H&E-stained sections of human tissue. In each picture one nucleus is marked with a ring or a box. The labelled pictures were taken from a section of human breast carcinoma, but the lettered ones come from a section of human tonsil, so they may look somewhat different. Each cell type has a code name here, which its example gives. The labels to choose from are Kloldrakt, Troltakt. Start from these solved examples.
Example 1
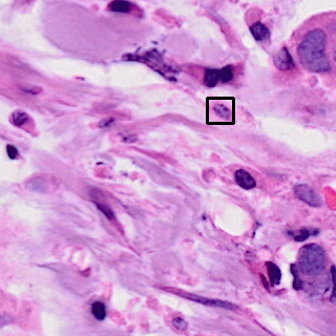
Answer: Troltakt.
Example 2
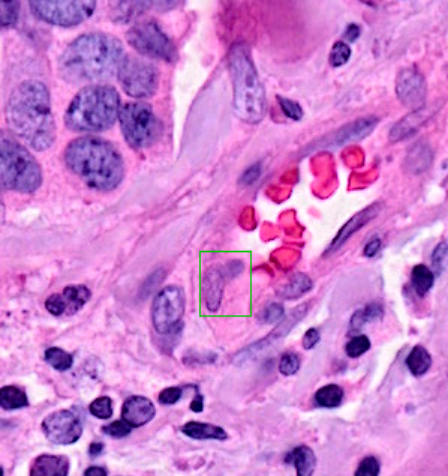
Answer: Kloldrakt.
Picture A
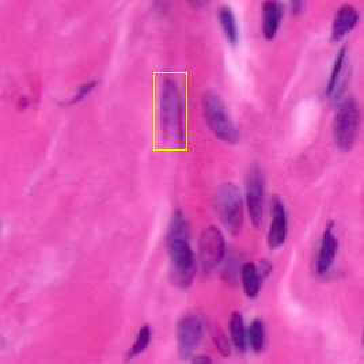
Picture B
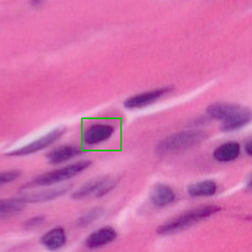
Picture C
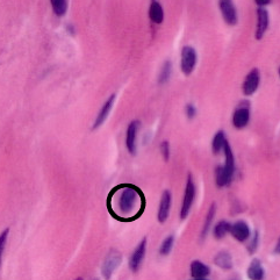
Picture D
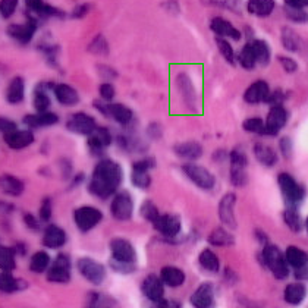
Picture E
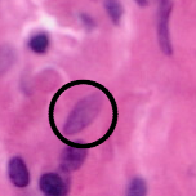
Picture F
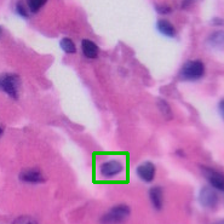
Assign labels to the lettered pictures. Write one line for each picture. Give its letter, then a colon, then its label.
A: Kloldrakt.
B: Troltakt.
C: Troltakt.
D: Kloldrakt.
E: Kloldrakt.
F: Troltakt.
